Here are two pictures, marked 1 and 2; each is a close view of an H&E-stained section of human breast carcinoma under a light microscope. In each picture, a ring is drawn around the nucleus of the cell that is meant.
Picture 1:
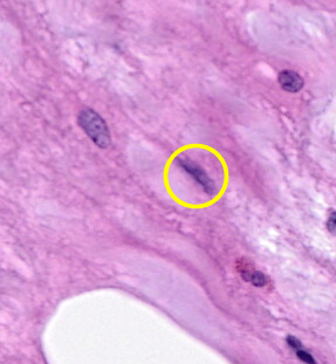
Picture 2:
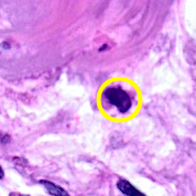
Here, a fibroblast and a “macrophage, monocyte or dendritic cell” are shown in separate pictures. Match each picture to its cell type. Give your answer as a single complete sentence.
It is picture 1 that shows a fibroblast, and picture 2 that shows a “macrophage, monocyte or dendritic cell”.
